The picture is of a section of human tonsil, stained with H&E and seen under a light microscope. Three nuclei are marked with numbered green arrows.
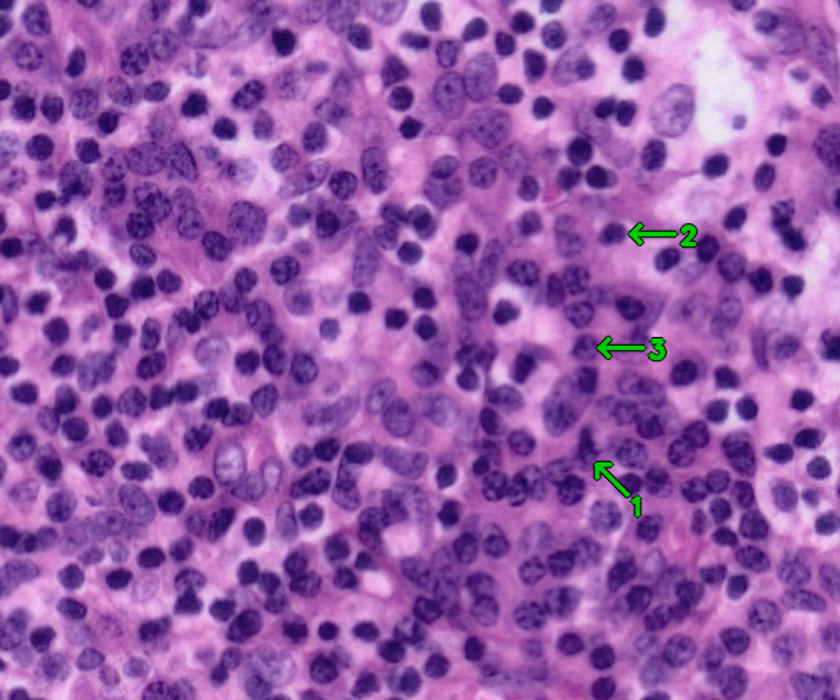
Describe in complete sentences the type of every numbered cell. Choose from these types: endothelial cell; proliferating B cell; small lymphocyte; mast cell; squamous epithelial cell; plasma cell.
Cell 1 is a plasma cell, cell 2 is a squamous epithelial cell and cell 3 is a plasma cell.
